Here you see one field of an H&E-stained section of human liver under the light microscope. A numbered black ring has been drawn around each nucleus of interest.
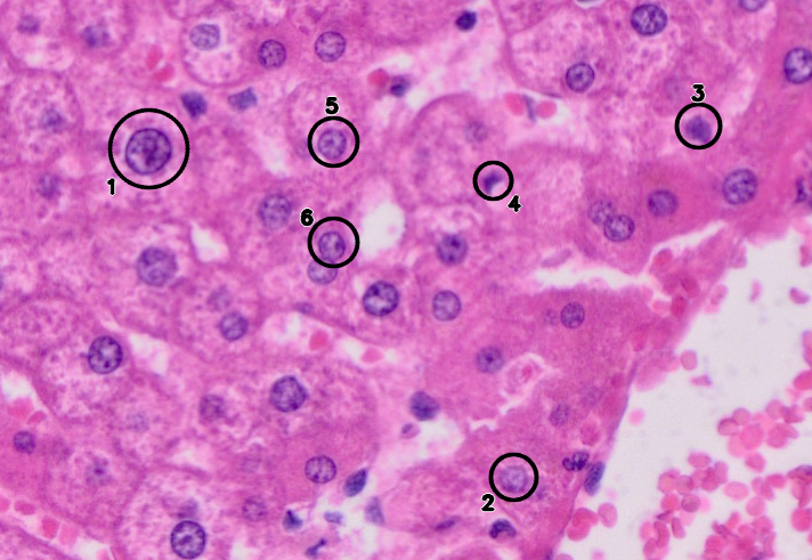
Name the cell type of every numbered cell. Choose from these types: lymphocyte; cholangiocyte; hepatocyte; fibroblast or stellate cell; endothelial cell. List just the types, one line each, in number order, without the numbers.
hepatocyte
hepatocyte
endothelial cell
endothelial cell
hepatocyte
hepatocyte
